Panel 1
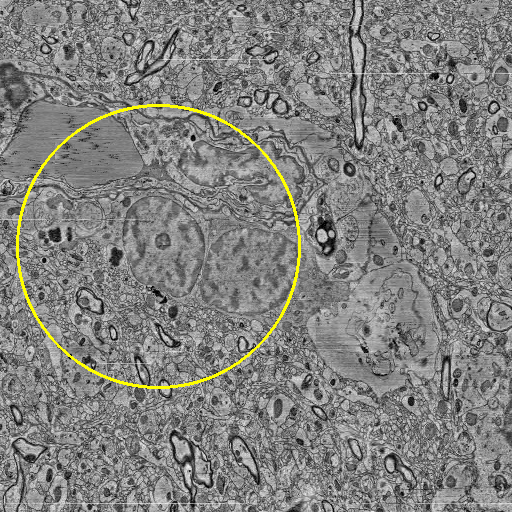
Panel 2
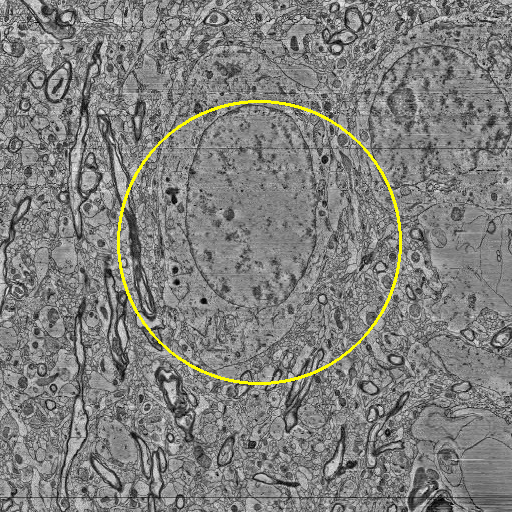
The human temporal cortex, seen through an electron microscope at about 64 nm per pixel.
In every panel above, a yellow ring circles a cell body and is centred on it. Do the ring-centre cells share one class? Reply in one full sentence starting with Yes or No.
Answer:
No, the two cells at the ring centres in the panels belong to two classes.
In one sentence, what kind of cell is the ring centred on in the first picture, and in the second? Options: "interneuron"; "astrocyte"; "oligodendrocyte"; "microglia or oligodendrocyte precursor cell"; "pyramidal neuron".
The cell at the centre of the second ring is a pyramidal neuron; the first ring's cell is an oligodendrocyte.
